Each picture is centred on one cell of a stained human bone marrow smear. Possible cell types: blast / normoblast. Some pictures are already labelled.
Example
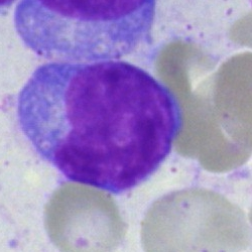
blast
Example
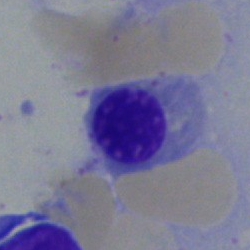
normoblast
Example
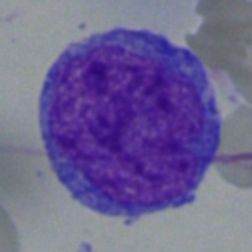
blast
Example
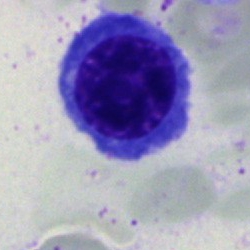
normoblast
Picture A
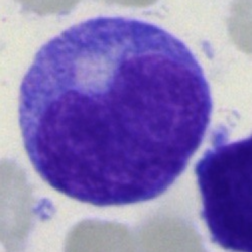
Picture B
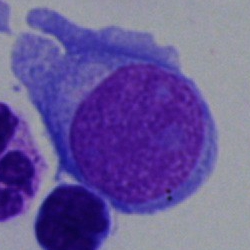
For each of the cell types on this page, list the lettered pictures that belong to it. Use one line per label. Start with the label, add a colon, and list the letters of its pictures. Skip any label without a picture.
blast: A, B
